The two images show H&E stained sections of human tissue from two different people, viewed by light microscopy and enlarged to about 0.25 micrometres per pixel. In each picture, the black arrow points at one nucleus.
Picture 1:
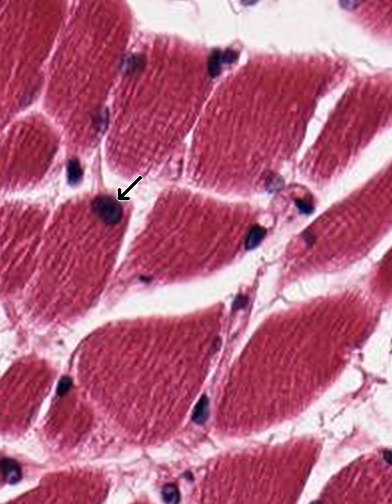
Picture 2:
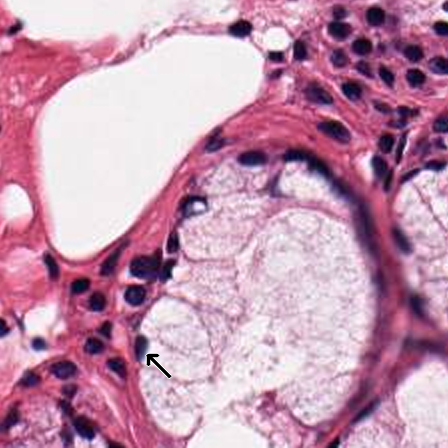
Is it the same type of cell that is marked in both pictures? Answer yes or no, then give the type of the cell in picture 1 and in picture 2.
No, the first is a skeletal muscle fibre and the second a mucous gland cell.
